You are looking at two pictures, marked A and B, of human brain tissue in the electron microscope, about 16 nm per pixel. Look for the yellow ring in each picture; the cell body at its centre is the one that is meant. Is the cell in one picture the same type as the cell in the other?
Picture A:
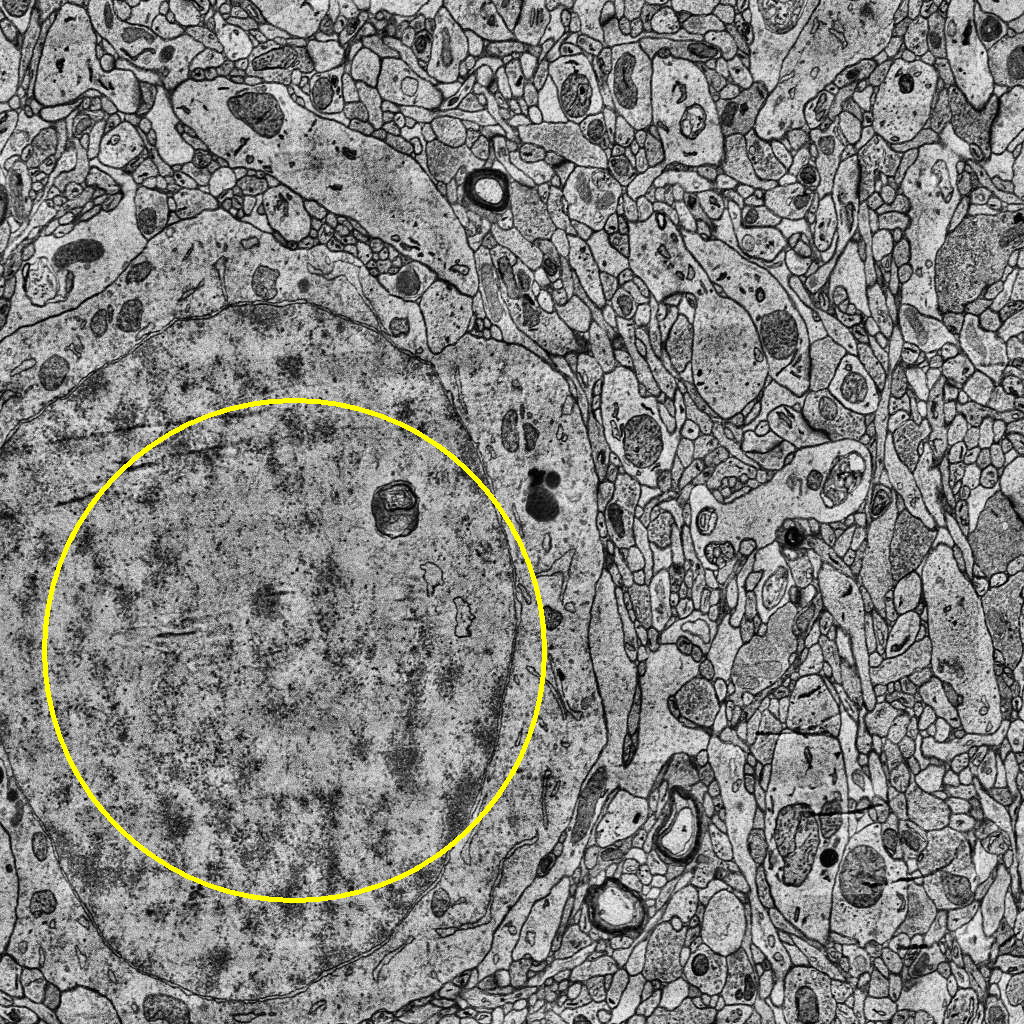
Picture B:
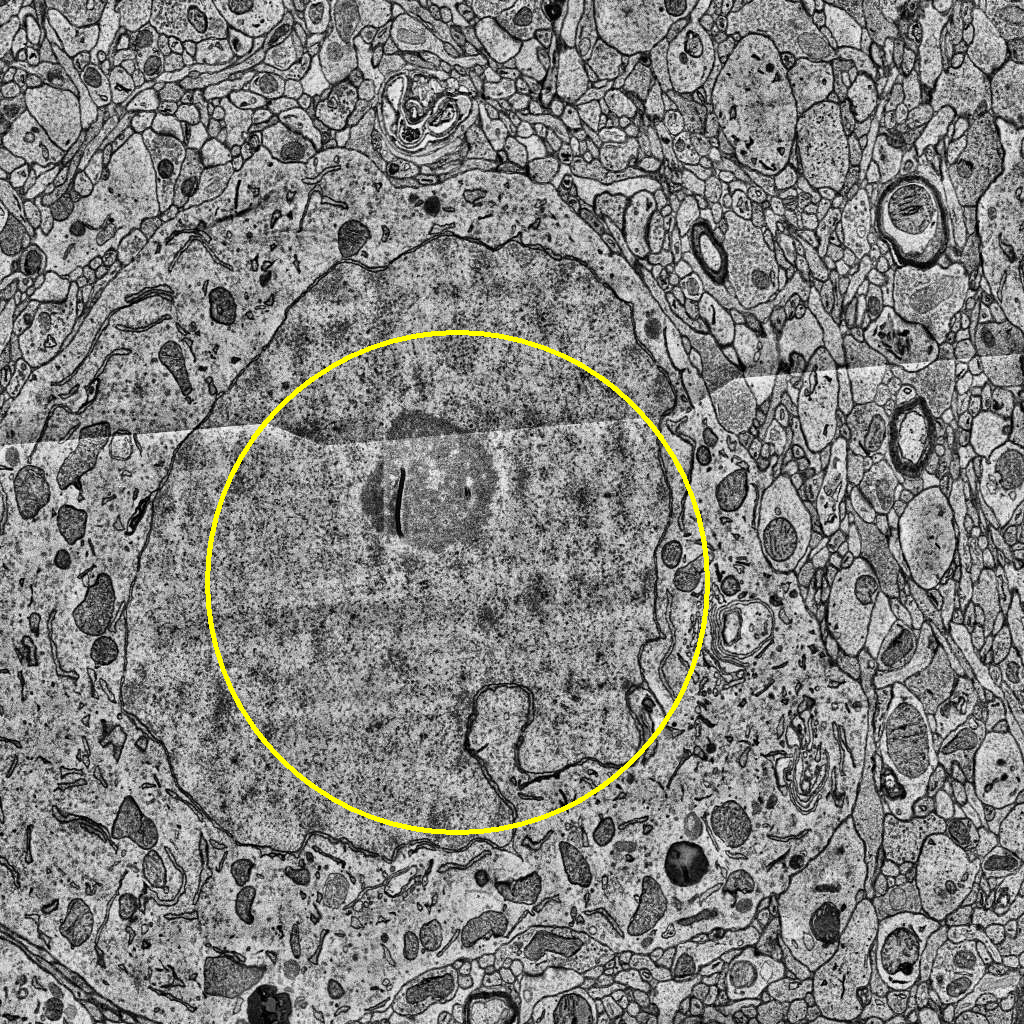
Yes, both cells are interneurons.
